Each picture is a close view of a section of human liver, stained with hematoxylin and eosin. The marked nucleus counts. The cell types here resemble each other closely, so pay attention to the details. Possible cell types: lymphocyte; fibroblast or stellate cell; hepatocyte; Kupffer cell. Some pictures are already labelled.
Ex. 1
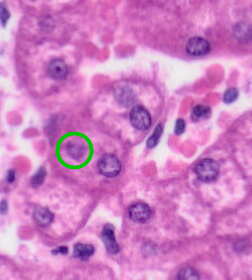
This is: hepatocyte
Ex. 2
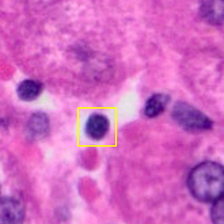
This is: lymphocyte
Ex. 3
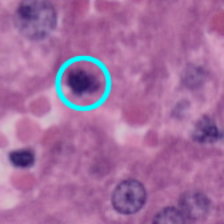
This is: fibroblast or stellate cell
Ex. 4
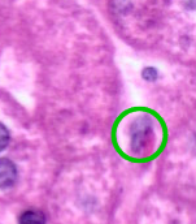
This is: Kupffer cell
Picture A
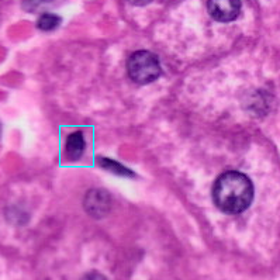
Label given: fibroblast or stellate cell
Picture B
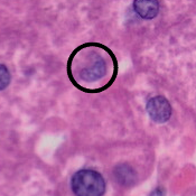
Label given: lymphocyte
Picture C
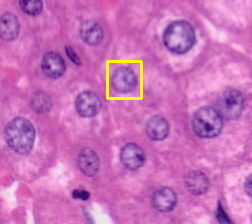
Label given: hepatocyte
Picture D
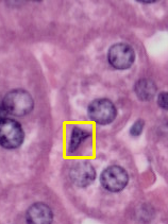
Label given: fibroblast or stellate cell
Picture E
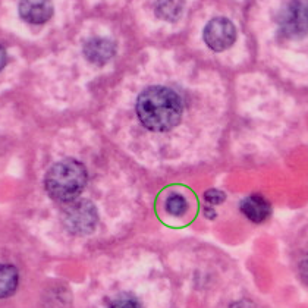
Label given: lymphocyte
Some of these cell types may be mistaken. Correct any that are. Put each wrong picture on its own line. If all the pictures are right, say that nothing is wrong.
Wrong: B (lymphocyte); correct: Kupffer cell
